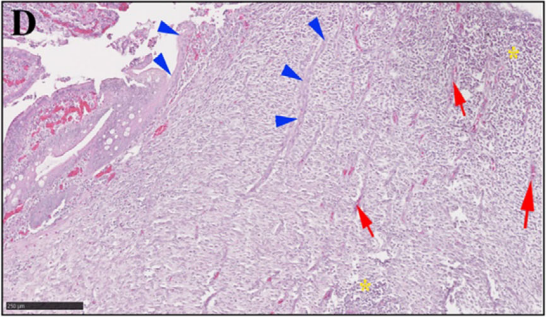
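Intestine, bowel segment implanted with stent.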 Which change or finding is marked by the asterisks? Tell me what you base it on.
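The asterisks lie in regions densely packed with small dark nuclei. These regions are more cellular than the surrounding pale tissue. On this evidence: immune cell infiltration.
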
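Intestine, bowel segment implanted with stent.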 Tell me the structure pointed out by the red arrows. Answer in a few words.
Blood vessels.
